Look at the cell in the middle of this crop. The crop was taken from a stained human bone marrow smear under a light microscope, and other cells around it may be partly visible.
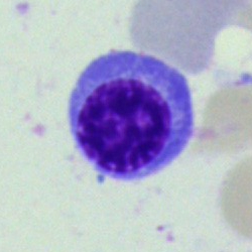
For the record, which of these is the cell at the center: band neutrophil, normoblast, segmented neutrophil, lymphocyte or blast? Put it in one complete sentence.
The cell found in the middle of this crop is a normoblast.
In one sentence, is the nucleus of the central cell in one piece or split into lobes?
If you check the nucleus, you will find one compact mass, round, oval or kidney-shaped.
